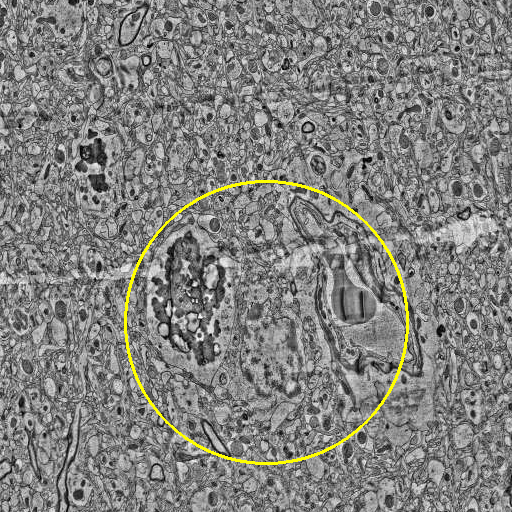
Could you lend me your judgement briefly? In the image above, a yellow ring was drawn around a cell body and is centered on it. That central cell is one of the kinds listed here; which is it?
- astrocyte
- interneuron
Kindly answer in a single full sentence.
Going by the list, an interneuron is the kind at the ring's center in the picture.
